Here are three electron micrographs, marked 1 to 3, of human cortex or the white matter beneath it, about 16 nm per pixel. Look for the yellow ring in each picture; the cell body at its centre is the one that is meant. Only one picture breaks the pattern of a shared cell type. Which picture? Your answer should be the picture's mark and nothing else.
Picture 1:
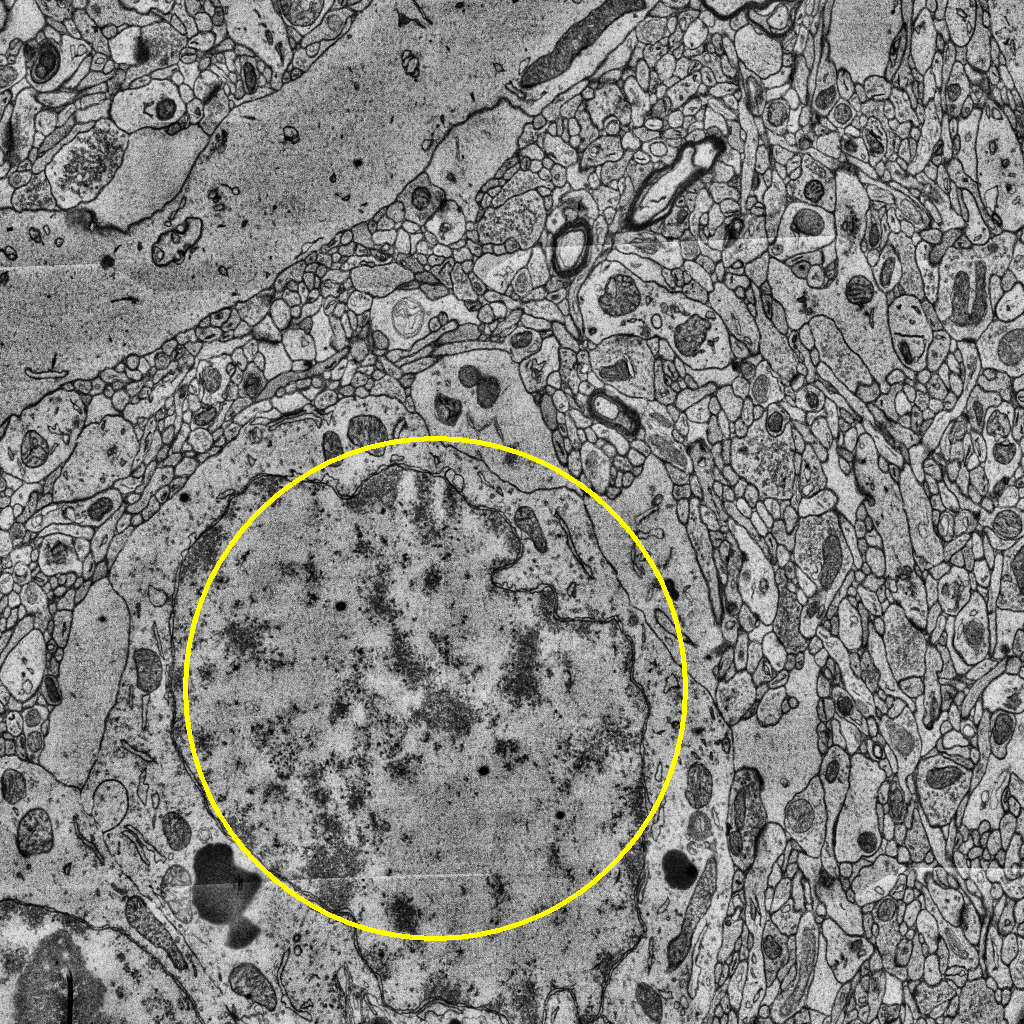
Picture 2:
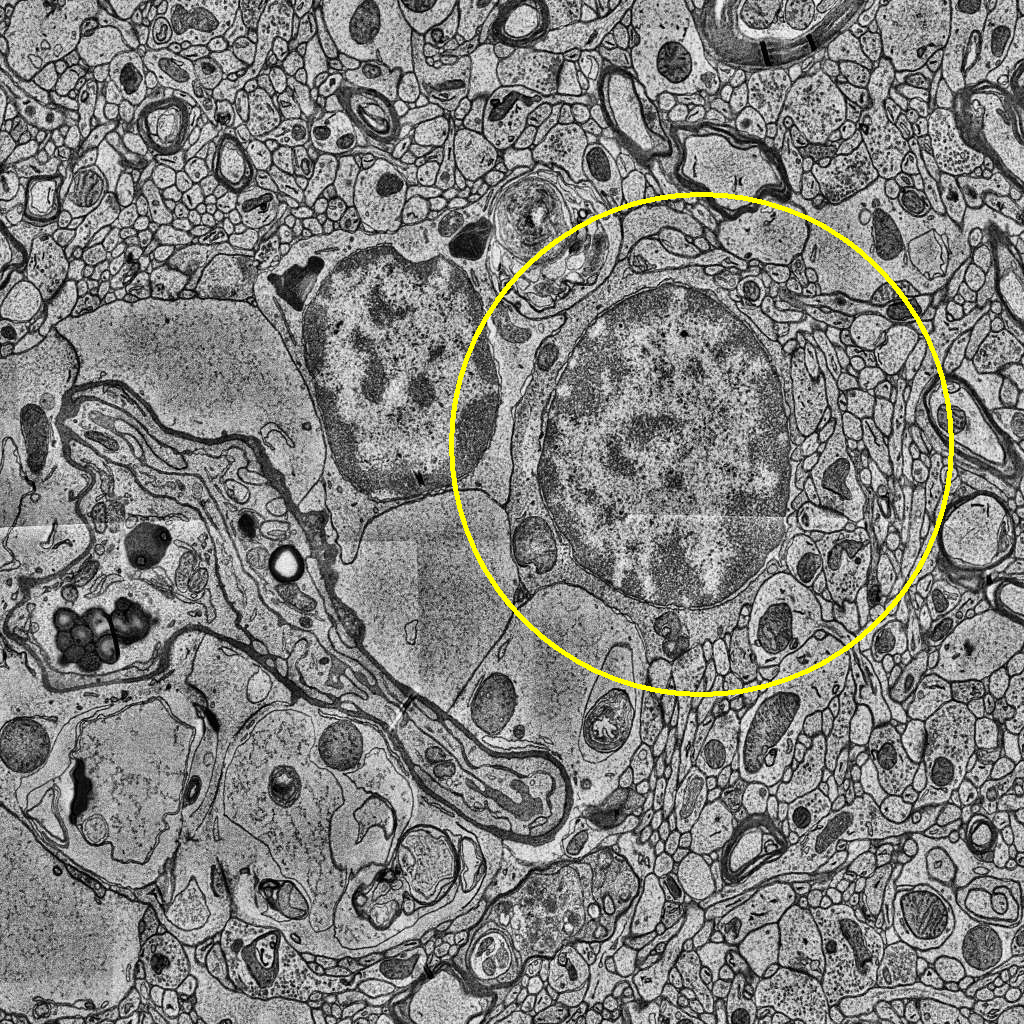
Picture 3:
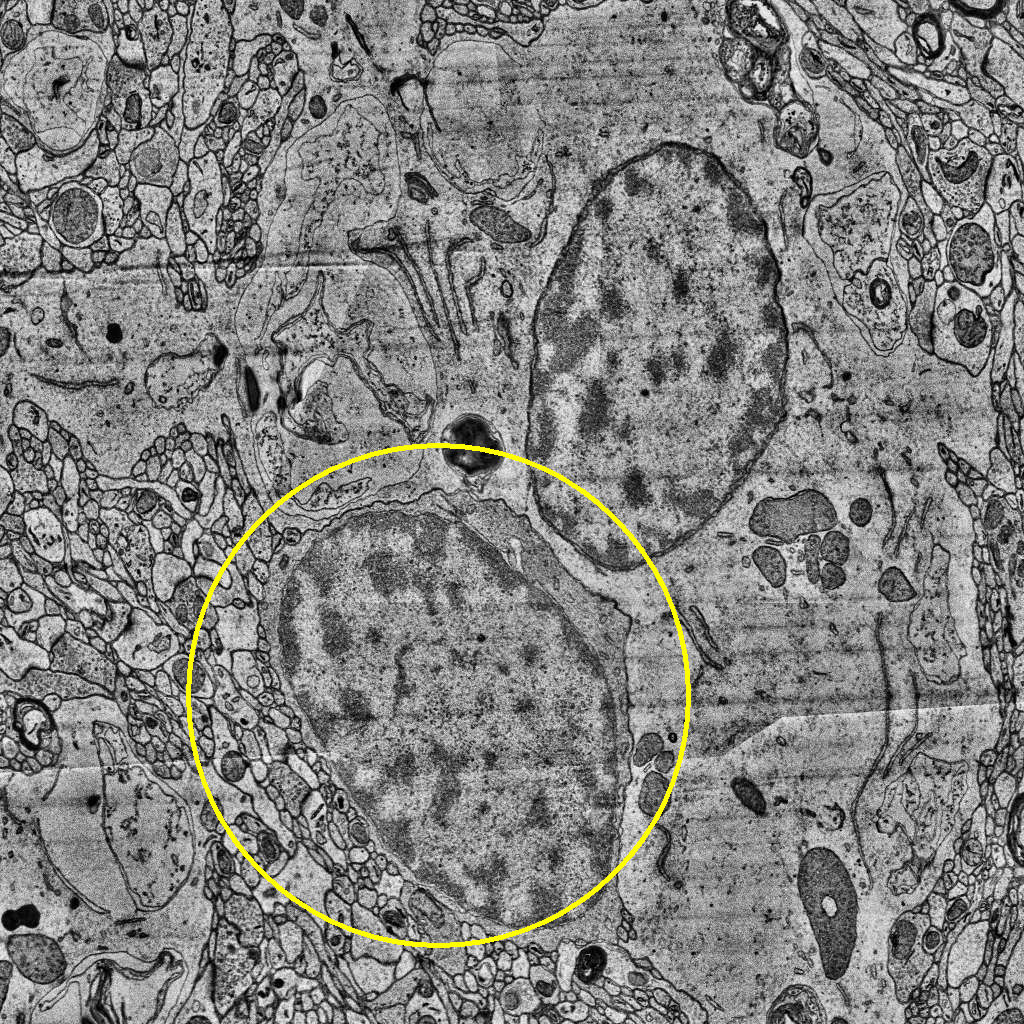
1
